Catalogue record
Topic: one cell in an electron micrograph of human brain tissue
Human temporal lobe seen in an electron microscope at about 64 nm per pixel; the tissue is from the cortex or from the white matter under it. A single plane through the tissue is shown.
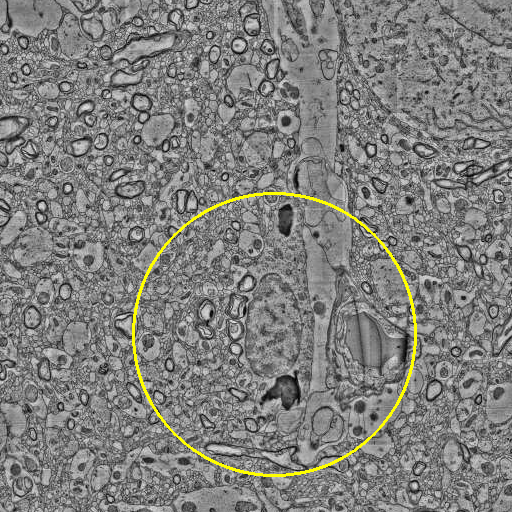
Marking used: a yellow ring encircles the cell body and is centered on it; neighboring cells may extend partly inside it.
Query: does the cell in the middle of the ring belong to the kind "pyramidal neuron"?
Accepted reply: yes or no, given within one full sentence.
No, the cell centered in the ring in the picture is of another kind.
